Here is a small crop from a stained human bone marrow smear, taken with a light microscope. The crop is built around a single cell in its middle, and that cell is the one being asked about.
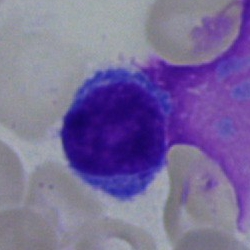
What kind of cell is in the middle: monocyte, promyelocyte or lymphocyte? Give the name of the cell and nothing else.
lymphocyte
